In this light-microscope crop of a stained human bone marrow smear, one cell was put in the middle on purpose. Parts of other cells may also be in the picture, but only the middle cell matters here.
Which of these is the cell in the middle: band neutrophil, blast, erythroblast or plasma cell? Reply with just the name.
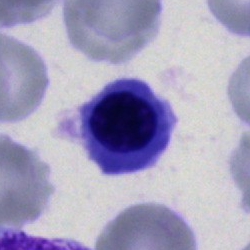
erythroblast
